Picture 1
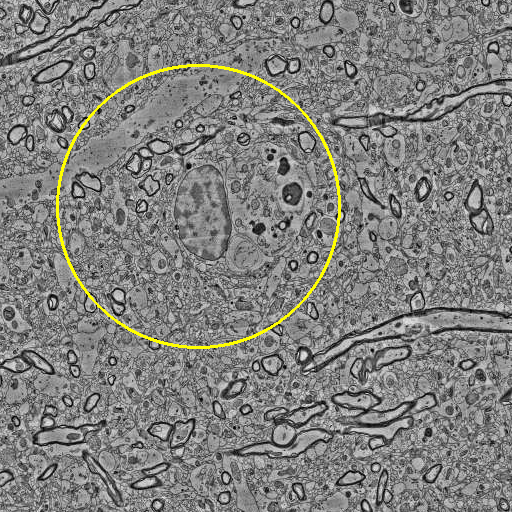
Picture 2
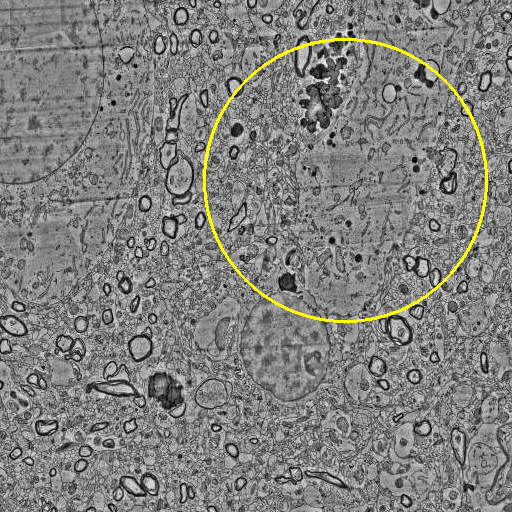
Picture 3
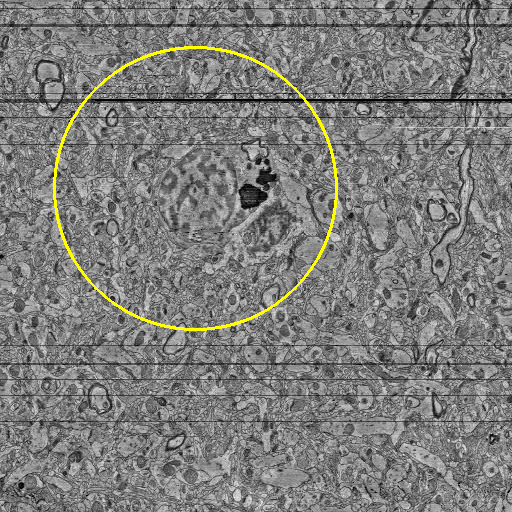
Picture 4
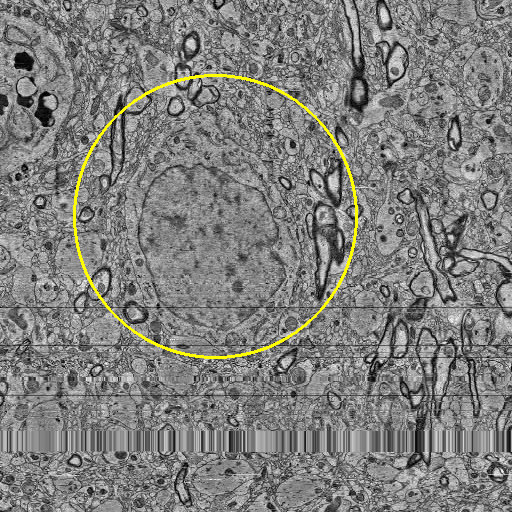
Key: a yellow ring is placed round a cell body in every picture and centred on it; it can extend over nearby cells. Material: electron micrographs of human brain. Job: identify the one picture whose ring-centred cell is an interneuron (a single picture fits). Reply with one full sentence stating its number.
Picture 4 is the one with the sought cell at the centre of its ring.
